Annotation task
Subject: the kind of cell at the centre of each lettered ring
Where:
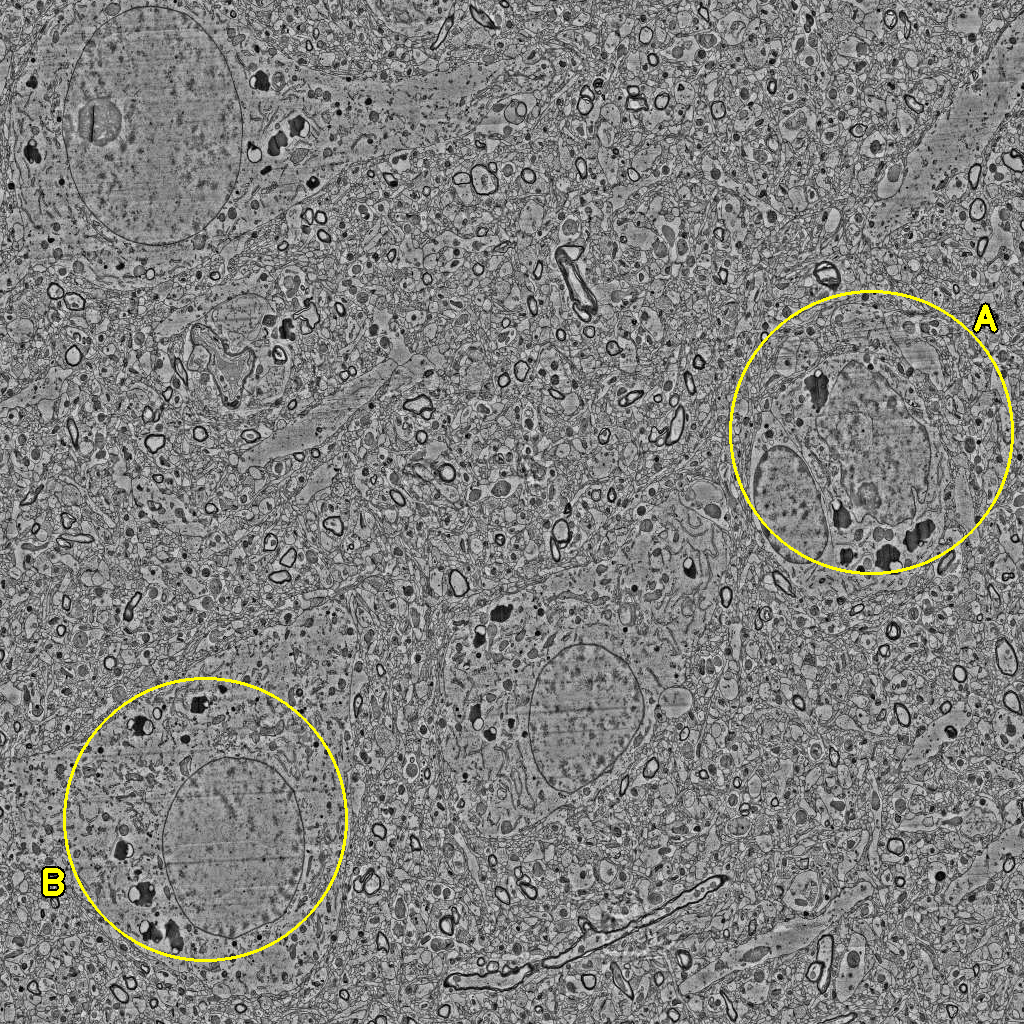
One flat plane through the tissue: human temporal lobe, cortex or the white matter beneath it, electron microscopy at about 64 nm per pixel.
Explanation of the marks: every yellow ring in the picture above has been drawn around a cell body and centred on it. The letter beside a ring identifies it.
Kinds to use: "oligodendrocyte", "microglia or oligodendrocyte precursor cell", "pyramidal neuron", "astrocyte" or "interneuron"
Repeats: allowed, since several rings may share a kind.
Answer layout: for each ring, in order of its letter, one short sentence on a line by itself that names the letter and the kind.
The ring lettered A is drawn around an interneuron.
The ring lettered B is drawn around a pyramidal neuron.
